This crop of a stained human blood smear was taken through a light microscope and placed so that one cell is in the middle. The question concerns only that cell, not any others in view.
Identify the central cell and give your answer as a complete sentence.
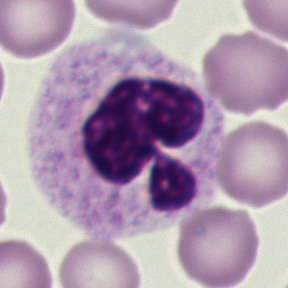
In the center of this field lies a segmented neutrophil.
